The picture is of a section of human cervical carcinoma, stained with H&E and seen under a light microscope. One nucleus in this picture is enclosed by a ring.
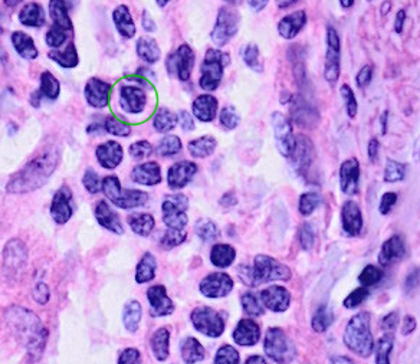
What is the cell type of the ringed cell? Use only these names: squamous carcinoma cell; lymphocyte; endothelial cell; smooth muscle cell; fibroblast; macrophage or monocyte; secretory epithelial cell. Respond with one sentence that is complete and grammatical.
By its classification, the ringed cell is a lymphocyte.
